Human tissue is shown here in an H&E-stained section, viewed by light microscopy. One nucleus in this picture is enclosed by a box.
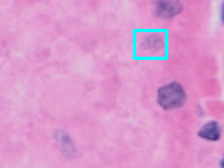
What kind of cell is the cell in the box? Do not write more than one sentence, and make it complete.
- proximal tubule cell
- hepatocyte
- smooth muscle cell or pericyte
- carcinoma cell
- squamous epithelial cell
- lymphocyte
Within this tissue, the cell in the box is a proximal tubule cell.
